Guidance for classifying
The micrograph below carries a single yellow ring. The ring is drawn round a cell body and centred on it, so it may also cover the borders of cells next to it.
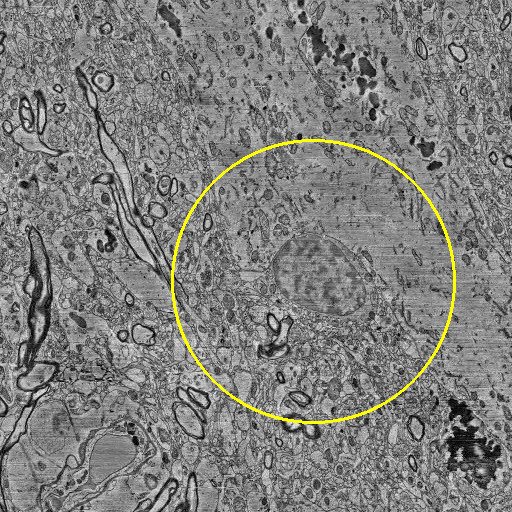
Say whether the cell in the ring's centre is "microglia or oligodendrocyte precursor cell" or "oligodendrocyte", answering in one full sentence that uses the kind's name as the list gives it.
Within the yellow ring, an oligodendrocyte is the cell whose body sits at the centre.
